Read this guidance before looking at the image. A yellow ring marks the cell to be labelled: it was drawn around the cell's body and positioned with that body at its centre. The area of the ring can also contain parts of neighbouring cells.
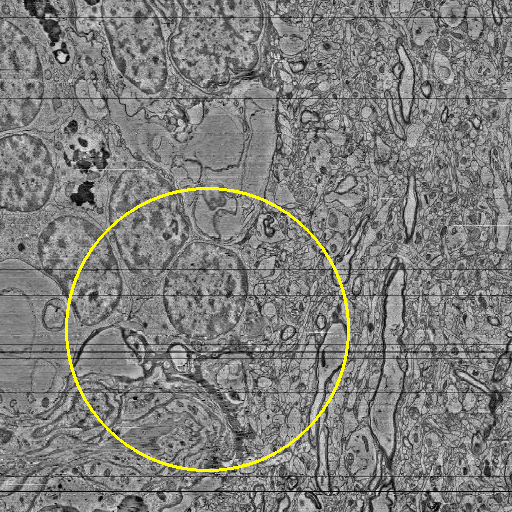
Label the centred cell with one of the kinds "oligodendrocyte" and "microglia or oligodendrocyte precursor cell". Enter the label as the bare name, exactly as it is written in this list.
oligodendrocyte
